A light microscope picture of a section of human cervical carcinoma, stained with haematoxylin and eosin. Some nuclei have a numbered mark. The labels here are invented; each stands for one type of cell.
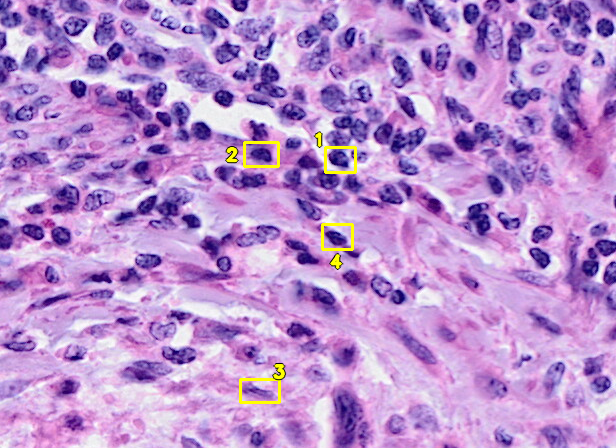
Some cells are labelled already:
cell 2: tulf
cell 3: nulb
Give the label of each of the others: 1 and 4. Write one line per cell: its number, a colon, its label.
1: tulf
4: tulf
